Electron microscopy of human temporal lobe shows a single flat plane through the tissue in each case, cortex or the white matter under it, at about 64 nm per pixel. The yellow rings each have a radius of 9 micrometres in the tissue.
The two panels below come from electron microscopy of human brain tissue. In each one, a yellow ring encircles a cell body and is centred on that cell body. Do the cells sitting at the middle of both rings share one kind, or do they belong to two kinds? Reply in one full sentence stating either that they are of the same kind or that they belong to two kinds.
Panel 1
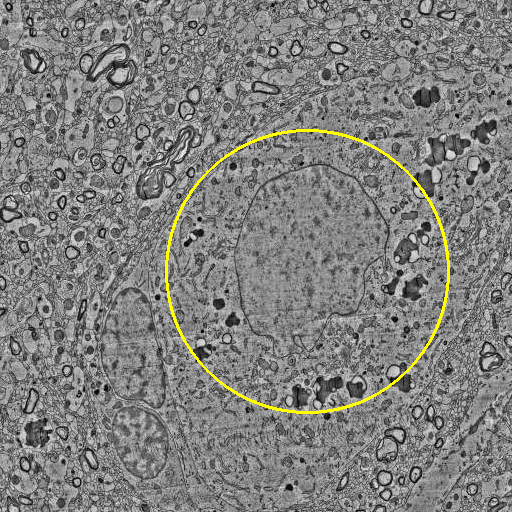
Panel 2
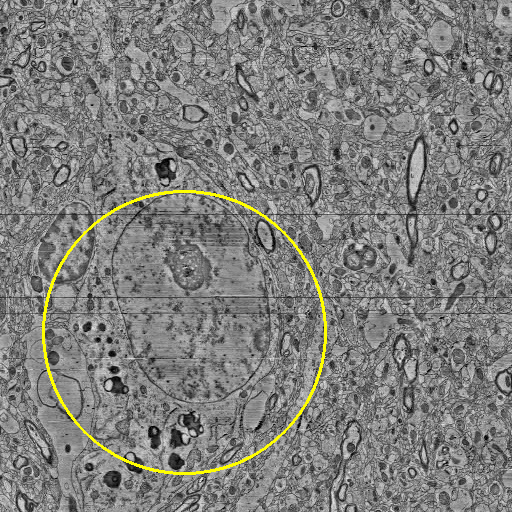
The cells at the centres of the two rings are of the same kind.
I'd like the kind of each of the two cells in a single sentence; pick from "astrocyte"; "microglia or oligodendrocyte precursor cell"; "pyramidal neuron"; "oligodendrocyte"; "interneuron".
Each of the two rings surrounds a pyramidal neuron.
